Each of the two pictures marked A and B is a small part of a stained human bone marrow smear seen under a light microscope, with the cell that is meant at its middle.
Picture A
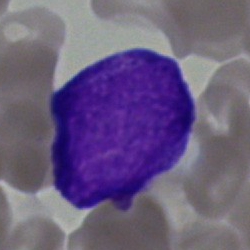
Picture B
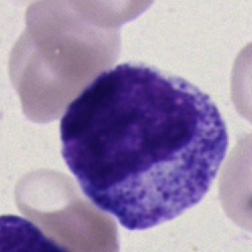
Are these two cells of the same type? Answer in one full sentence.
No, the types are not the same, since picture A shows a blast and picture B a myelocyte.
